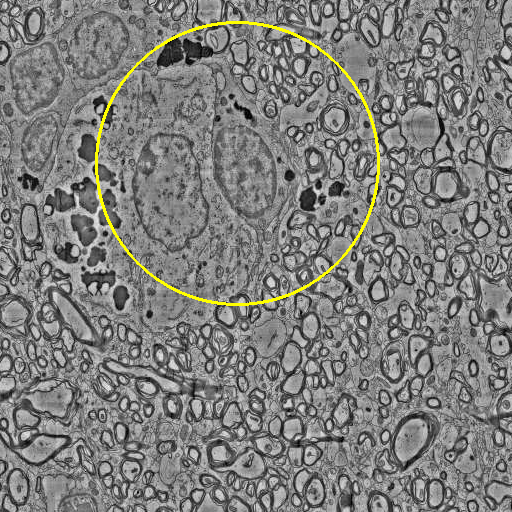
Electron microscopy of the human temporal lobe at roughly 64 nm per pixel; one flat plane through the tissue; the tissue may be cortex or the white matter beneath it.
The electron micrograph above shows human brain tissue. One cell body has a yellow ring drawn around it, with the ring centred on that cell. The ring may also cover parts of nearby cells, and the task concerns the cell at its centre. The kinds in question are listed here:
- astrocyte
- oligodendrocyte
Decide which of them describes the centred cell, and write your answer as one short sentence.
The centred cell is an oligodendrocyte.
